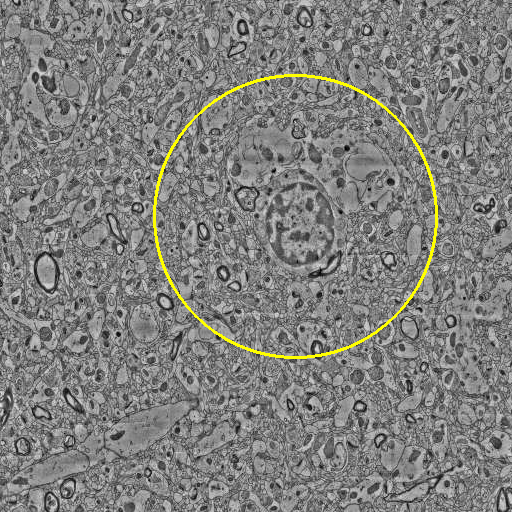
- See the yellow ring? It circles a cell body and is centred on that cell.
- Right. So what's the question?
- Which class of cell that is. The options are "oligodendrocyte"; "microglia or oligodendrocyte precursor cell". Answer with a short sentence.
The centre of the ring holds an oligodendrocyte.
